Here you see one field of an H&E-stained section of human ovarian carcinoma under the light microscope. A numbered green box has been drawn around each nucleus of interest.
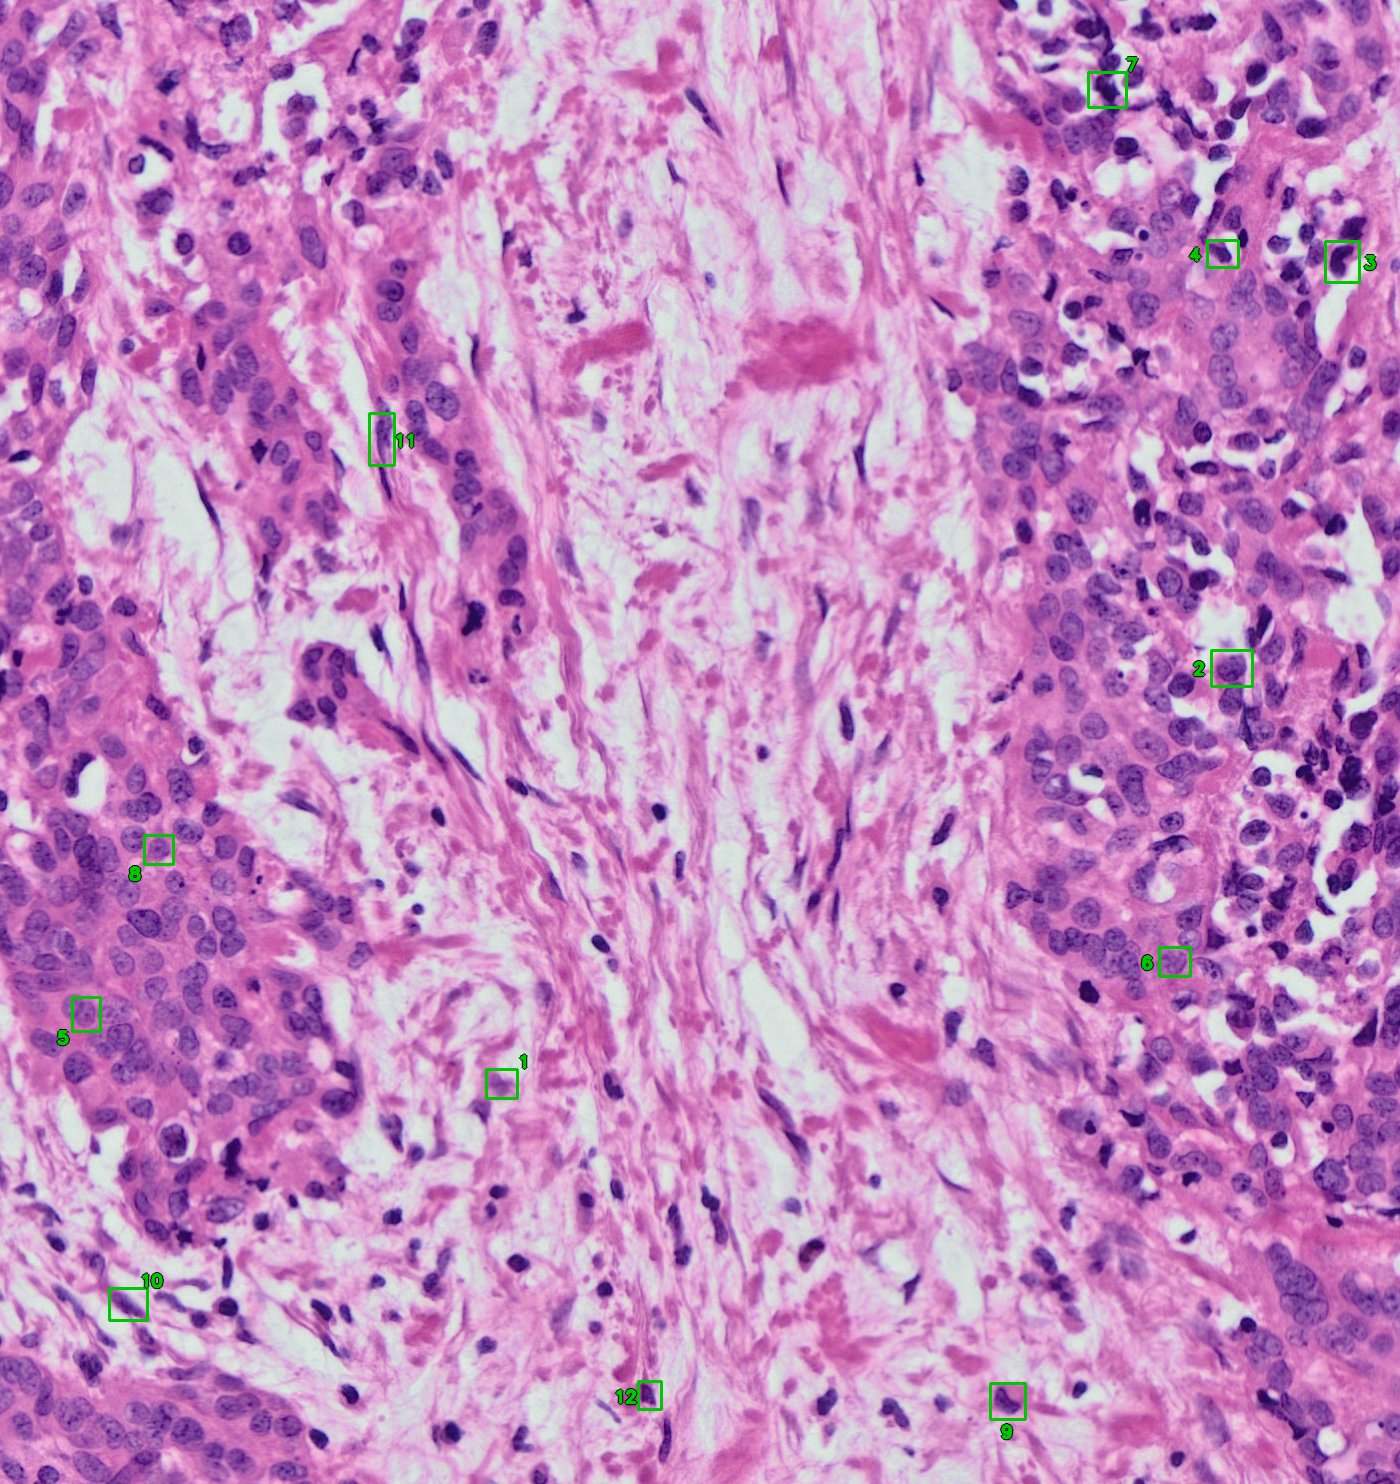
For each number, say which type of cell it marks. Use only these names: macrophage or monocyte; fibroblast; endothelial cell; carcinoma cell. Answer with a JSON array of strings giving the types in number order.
["fibroblast", "carcinoma cell", "carcinoma cell", "carcinoma cell", "carcinoma cell", "carcinoma cell", "carcinoma cell", "carcinoma cell", "macrophage or monocyte", "fibroblast", "fibroblast", "fibroblast"]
